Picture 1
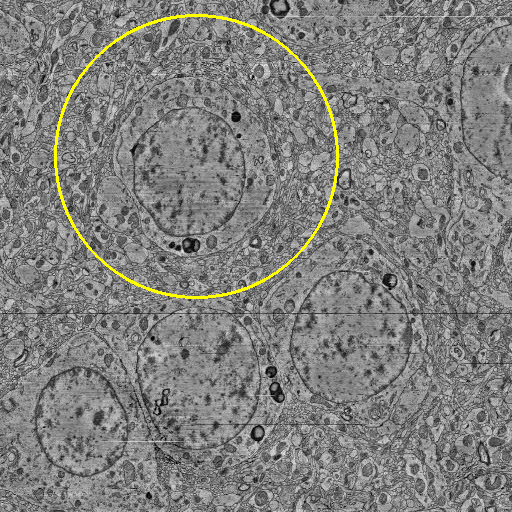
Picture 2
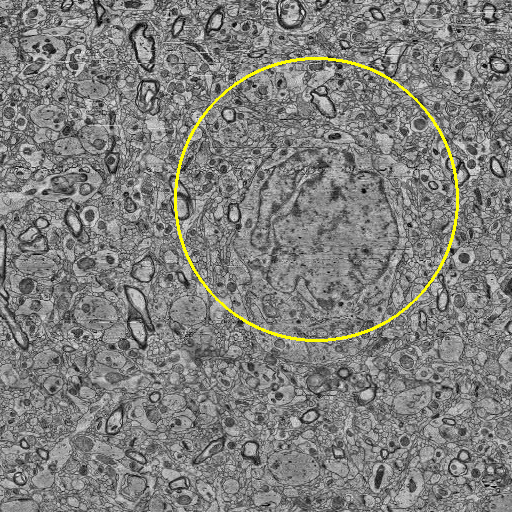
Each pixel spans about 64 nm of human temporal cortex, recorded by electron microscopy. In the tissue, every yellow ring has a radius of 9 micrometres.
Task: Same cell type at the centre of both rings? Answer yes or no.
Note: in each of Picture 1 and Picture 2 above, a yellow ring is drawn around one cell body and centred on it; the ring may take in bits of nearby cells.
no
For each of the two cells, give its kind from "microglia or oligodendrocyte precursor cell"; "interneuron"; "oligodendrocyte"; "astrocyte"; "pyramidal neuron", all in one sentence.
The first picture has a pyramidal neuron in its ring, the second has an interneuron.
